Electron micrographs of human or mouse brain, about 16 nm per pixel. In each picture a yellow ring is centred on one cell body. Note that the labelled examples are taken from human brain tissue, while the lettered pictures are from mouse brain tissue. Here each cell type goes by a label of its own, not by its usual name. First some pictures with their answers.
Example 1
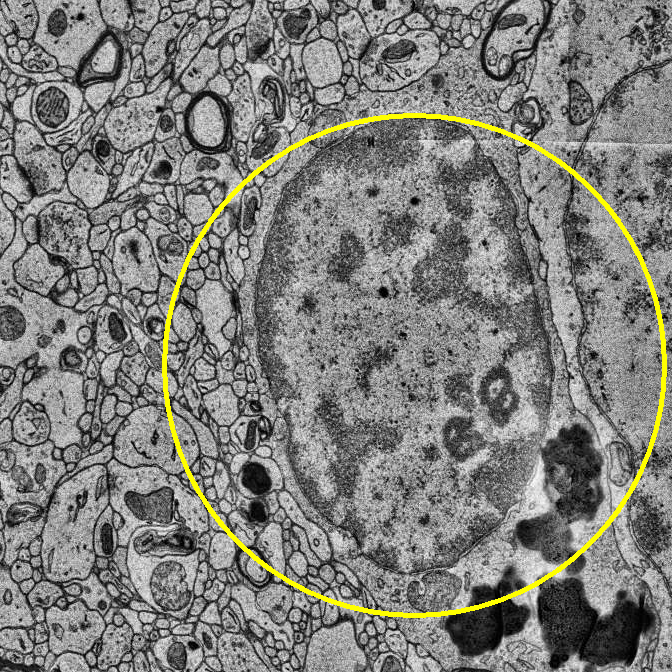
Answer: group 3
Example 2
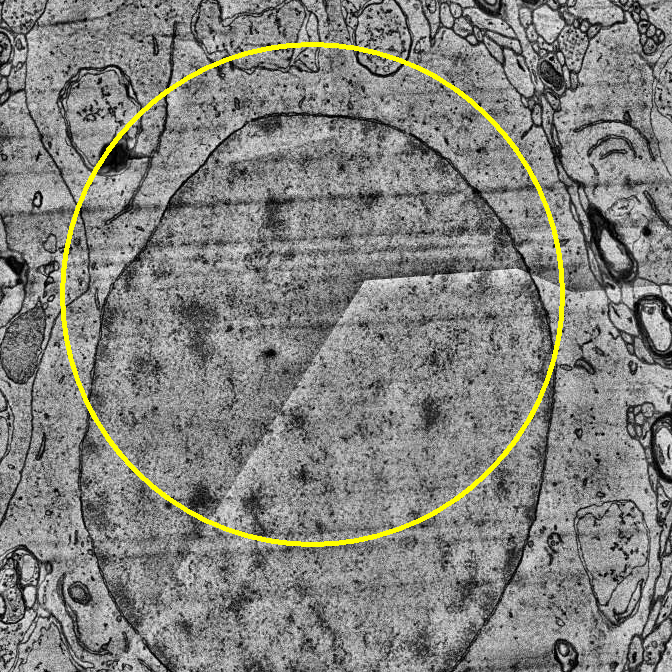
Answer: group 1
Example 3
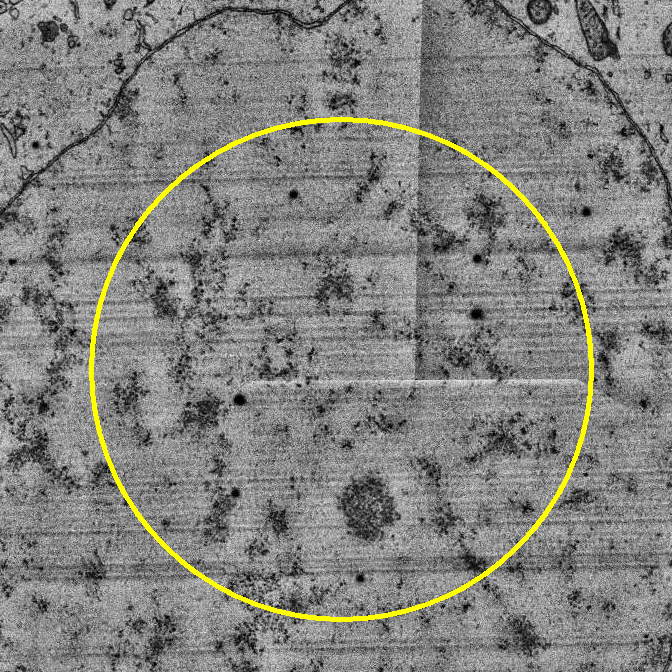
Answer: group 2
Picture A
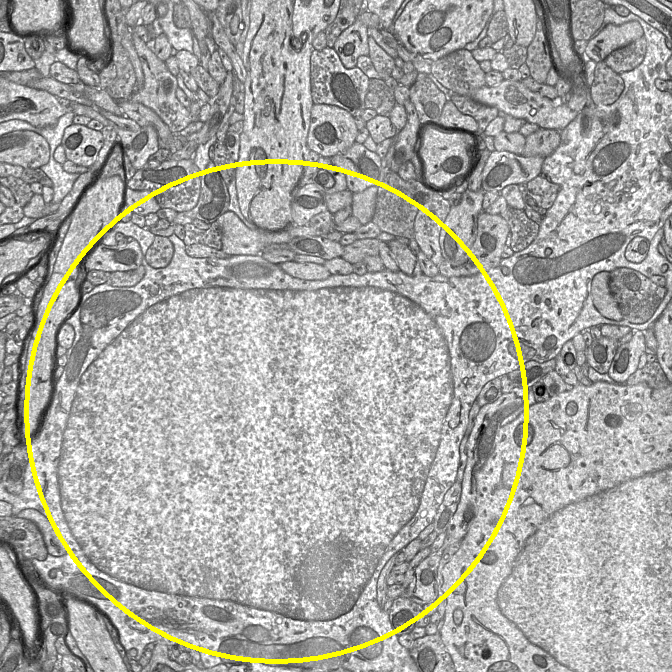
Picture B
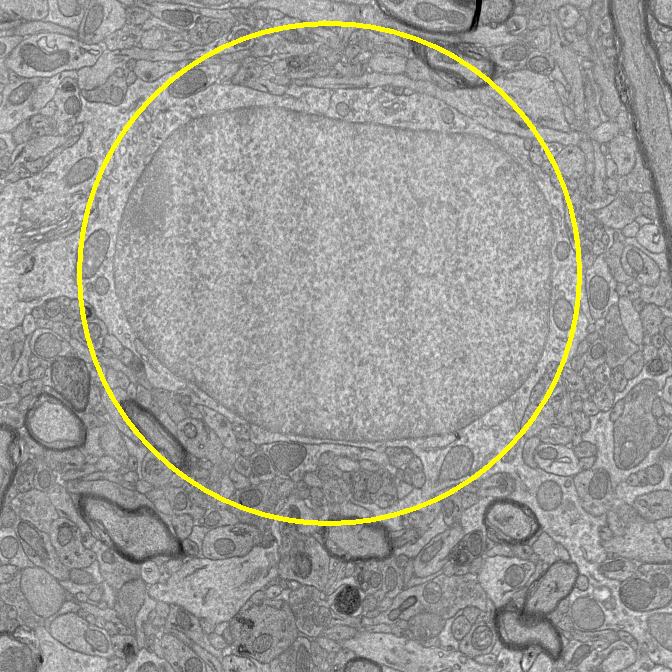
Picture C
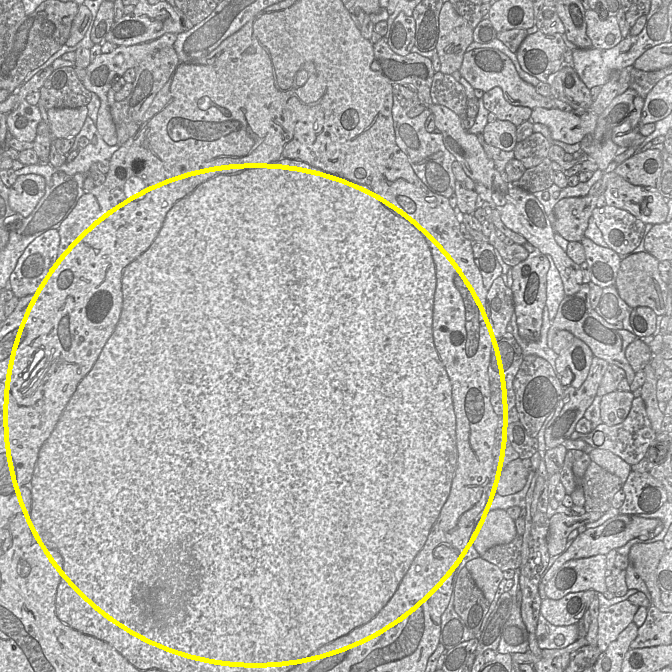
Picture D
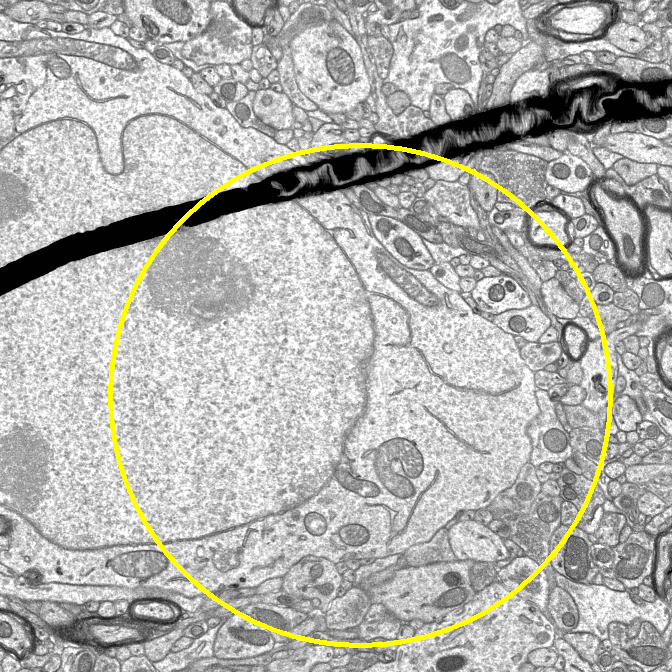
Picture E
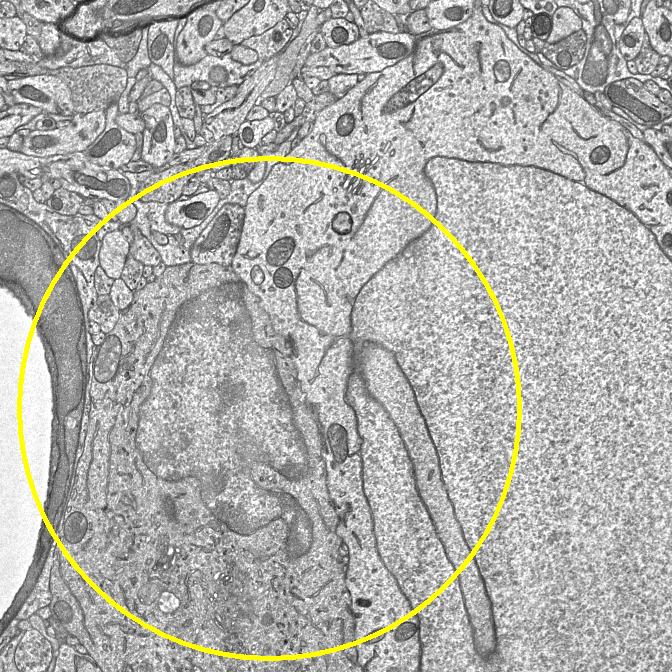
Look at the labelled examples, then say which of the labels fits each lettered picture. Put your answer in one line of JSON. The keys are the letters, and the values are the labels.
{"A": "group 1", "B": "group 1", "C": "group 2", "D": "group 3", "E": "group 3"}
